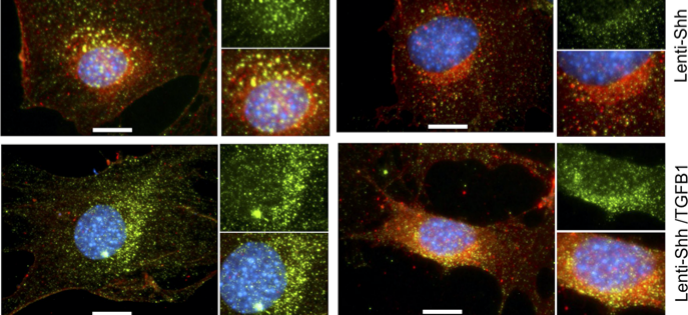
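Four sets of flat, spread cultured cells are shown, each cell with a single large oval nucleus stained blue and a broad cytoplasm extending toward the cell edges. Fine green dots are scattered through the cytoplasm and tend to crowd around the nucleus. Red dots are also distributed through the cytoplasm. Where the two overlap, especially near the nucleus, the dots appear yellow. Enlarged insets beside each cell show the dotted cytoplasm near the nucleus in more detail, once in green alone and once with all colours merged.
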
